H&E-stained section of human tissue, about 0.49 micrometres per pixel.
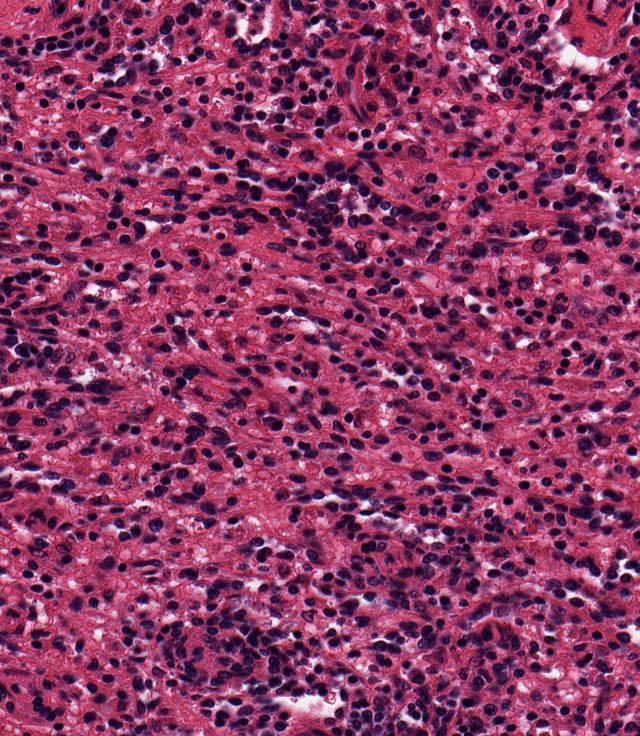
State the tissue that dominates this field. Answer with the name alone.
red pulp of the spleen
